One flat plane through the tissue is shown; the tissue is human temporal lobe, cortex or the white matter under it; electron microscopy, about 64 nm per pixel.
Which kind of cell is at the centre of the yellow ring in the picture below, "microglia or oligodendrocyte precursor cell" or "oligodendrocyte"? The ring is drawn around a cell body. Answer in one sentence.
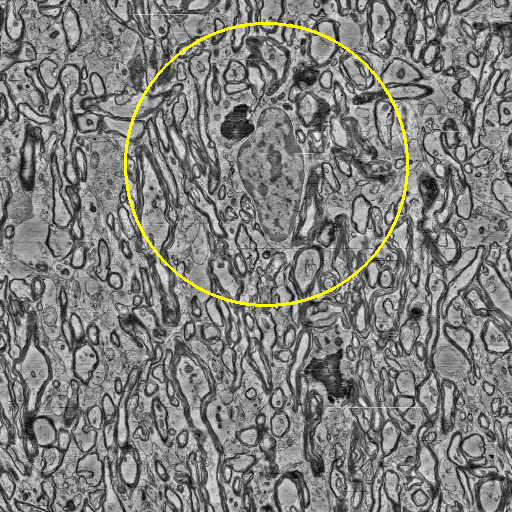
The ring's central cell is a microglial cell or oligodendrocyte precursor cell.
